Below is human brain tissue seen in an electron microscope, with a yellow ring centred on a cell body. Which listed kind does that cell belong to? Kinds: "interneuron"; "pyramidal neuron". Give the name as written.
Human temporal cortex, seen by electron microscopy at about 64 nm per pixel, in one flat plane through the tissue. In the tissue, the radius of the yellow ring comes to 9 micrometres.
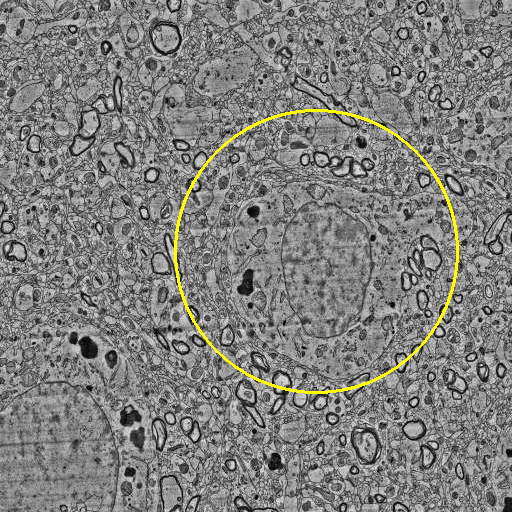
pyramidal neuron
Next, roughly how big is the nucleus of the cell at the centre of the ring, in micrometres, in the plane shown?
Approximately 8 micrometres long and 6 micrometres wide, in this plane.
